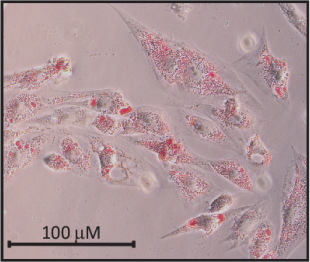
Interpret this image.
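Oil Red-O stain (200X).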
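Scattered cultured cells lie spread on a pale background, some spindle-shaped with long tapering ends and others more rounded or polygonal. The cells are not in a continuous sheet but lie loosely side by side, partly touching.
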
